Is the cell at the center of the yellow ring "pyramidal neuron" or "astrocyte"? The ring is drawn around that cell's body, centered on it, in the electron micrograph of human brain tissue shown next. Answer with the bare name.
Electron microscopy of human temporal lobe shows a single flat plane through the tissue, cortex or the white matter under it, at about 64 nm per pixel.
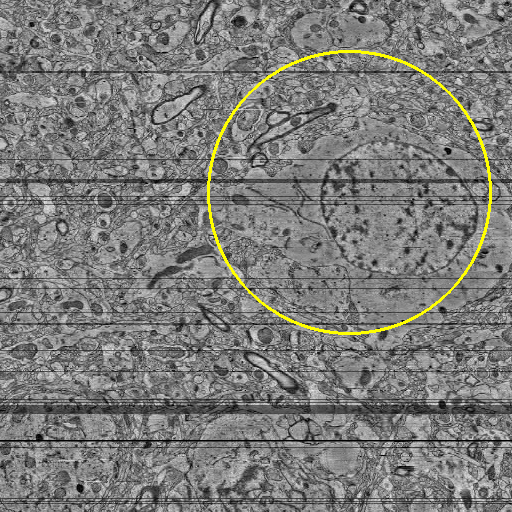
astrocyte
